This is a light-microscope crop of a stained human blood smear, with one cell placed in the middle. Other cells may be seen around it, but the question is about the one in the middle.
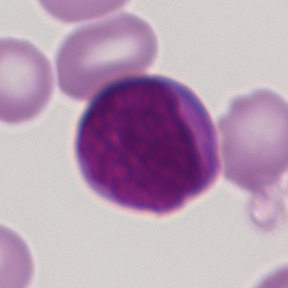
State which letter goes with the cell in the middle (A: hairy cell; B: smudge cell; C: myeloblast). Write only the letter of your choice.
C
